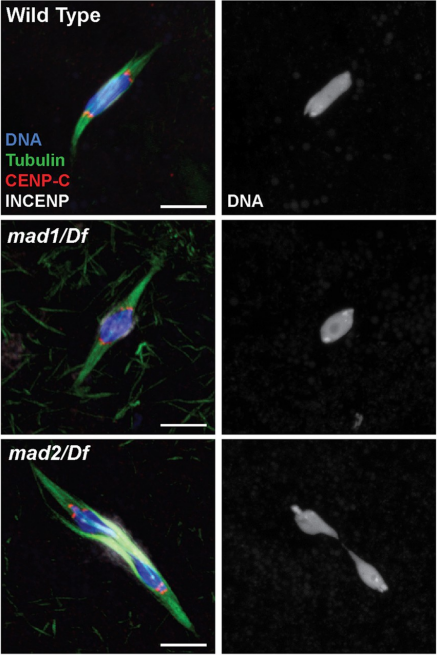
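Oocyte spindles appear as green spindle-shaped fibre arrays with a blue chromatin mass at their centre and small red dots at the edges of the chromatin. In the top two examples the chromatin, seen alone in grey, is a single compact oval mass. In the bottom example the chromatin is stretched into two lobes joined by a thin bridge, and the spindle carries faint white signal near its middle.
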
